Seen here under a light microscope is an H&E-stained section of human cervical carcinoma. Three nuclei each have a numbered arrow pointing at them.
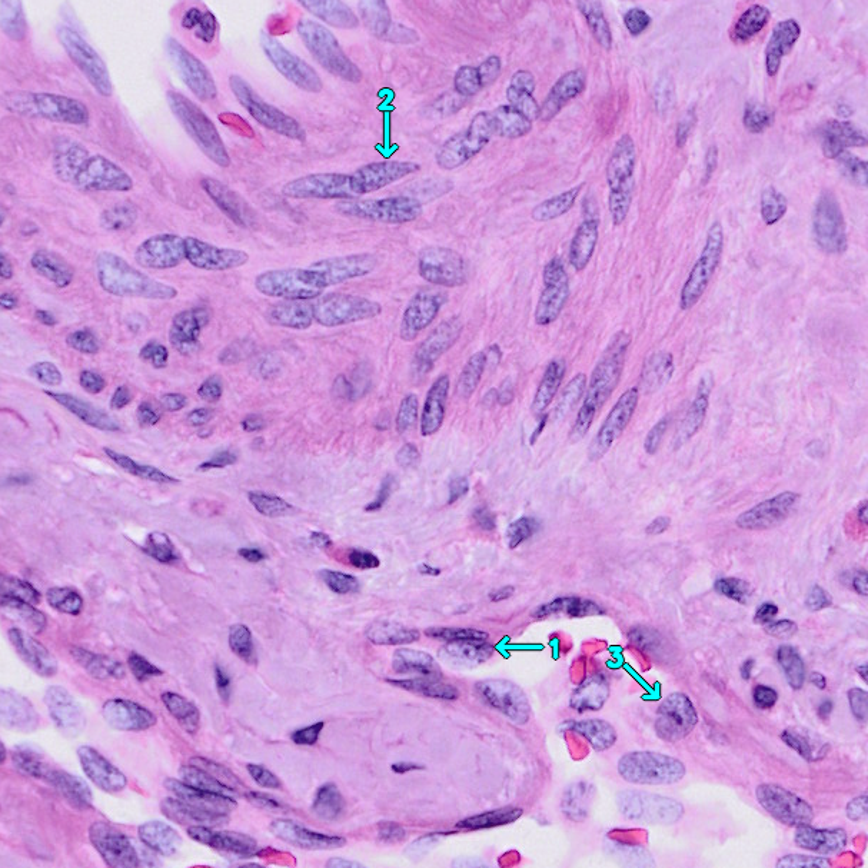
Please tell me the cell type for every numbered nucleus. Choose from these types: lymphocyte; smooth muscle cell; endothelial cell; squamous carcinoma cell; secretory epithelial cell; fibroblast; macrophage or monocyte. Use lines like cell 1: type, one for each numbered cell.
cell 1: endothelial cell
cell 2: smooth muscle cell
cell 3: endothelial cell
